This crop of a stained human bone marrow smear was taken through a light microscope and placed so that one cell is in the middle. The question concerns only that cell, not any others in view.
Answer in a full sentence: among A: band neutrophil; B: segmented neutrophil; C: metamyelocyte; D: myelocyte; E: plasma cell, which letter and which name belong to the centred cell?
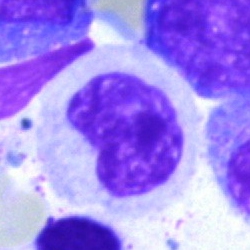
The one cell at the centre is a band neutrophil, as correctly stated in option A.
